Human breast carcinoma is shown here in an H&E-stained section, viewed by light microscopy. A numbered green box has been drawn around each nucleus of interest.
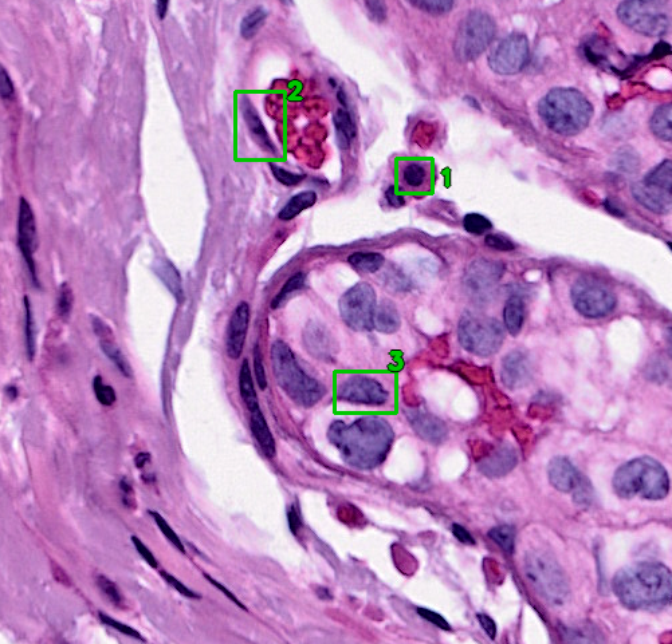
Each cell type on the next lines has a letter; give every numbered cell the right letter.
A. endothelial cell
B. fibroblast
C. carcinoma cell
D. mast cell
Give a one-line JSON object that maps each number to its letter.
{"1": "D", "2": "A", "3": "C"}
